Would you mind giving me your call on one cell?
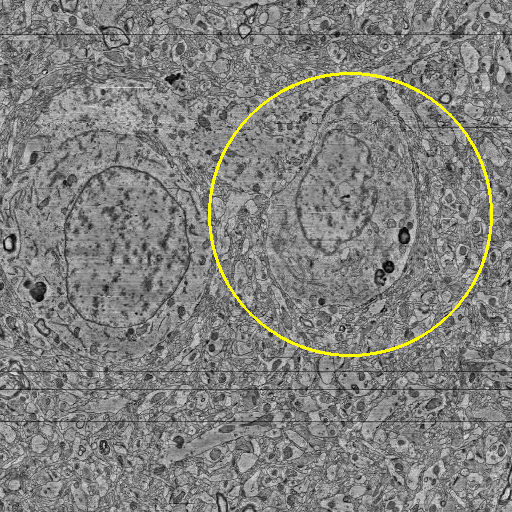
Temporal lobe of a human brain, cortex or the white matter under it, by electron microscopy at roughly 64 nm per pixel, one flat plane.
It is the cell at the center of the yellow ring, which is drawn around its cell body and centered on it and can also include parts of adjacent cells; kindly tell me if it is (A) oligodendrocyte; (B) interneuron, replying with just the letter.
B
